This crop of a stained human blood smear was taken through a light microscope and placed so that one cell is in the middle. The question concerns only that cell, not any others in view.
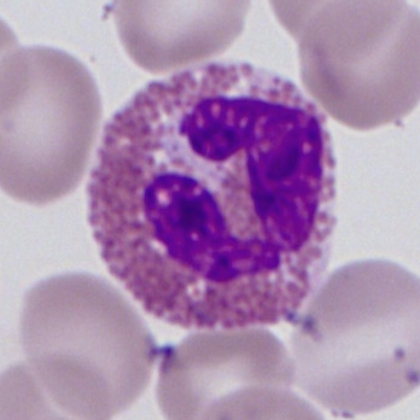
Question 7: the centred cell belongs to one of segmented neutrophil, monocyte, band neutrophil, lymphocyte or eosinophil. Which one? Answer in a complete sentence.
The cell in the exact centre of the crop is an eosinophil.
